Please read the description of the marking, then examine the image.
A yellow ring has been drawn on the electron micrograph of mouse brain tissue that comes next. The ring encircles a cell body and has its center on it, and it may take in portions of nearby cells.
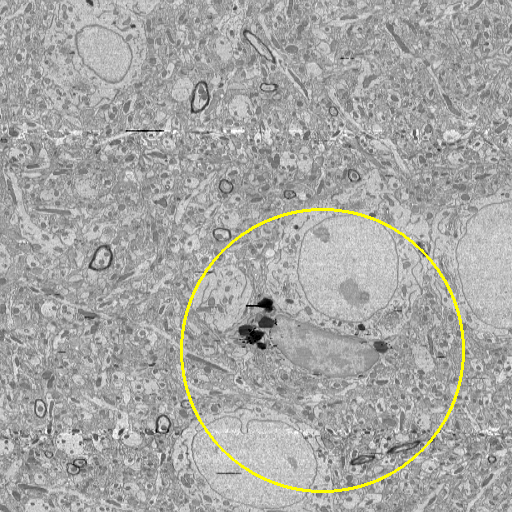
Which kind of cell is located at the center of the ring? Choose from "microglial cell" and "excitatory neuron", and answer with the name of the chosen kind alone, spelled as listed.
microglial cell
